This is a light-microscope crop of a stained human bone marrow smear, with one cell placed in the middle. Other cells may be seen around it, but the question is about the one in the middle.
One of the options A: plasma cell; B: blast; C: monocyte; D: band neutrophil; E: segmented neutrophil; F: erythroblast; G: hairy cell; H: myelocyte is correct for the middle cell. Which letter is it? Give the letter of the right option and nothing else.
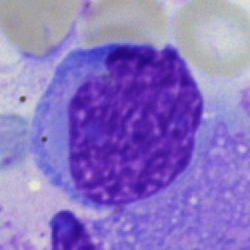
B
